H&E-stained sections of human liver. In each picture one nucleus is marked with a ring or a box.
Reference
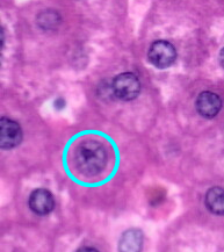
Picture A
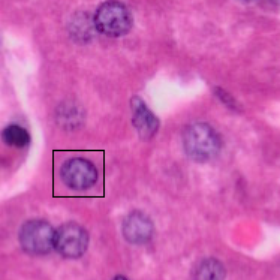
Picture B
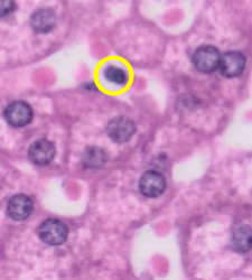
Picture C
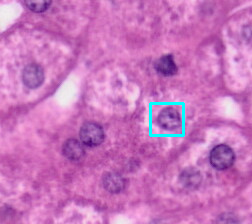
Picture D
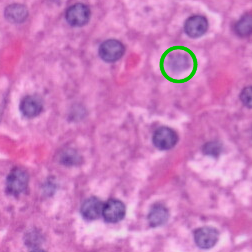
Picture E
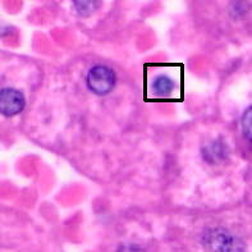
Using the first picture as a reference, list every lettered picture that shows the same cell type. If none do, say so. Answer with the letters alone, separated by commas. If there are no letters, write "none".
A, C, D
